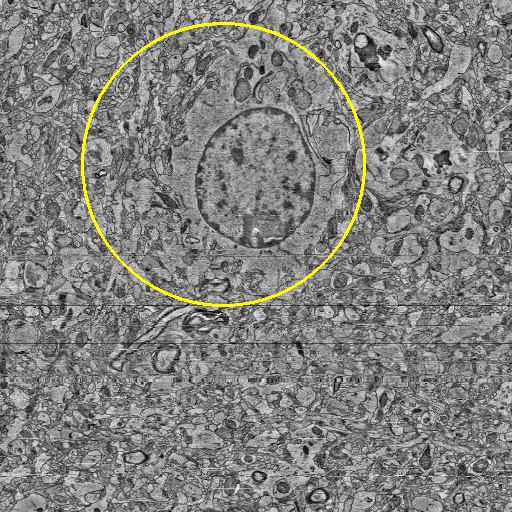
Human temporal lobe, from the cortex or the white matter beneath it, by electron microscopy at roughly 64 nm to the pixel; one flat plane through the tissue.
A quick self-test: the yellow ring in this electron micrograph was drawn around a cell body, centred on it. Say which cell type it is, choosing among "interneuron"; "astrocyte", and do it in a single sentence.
The yellow-ringed cell is an astrocyte.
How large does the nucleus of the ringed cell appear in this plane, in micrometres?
Roughly 9 by 7 micrometres in this plane, for the nucleus of the ringed cell.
